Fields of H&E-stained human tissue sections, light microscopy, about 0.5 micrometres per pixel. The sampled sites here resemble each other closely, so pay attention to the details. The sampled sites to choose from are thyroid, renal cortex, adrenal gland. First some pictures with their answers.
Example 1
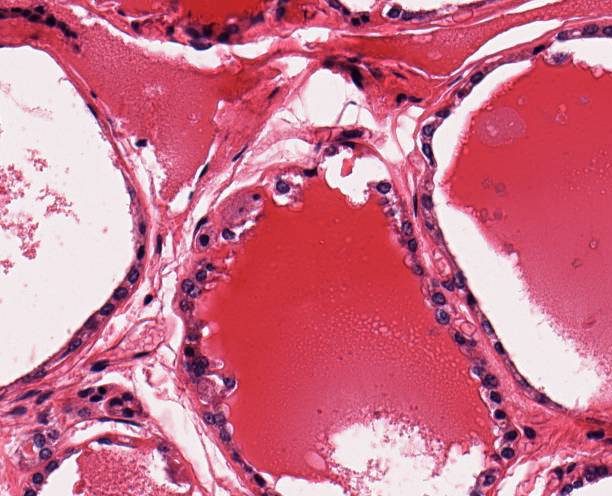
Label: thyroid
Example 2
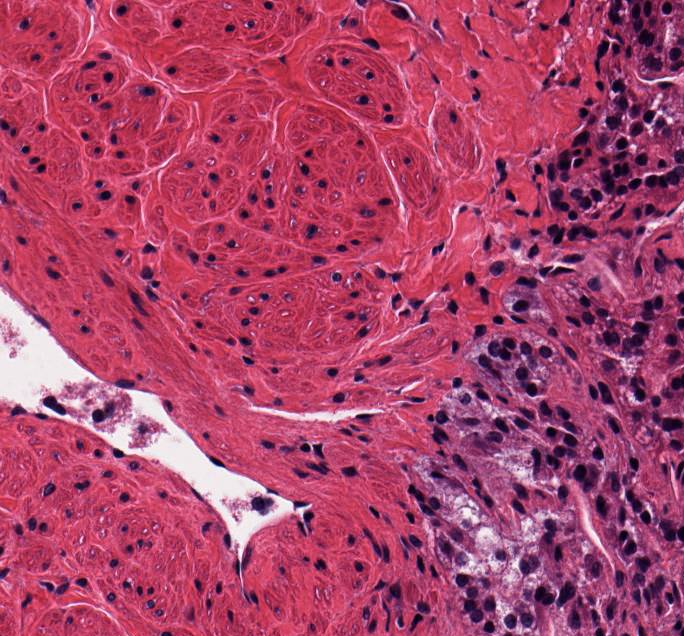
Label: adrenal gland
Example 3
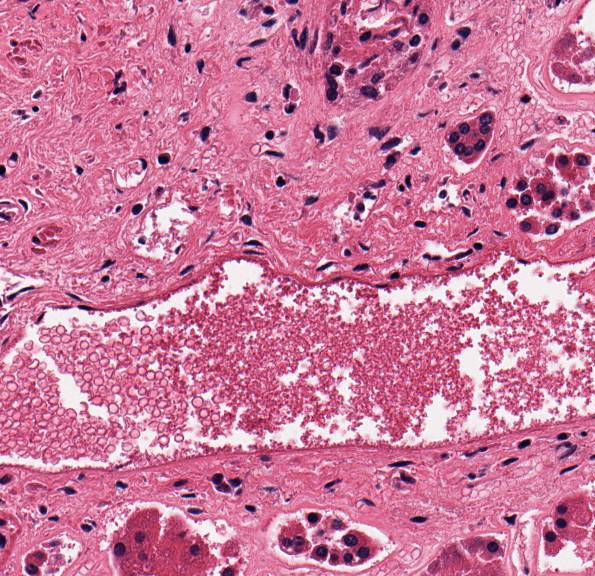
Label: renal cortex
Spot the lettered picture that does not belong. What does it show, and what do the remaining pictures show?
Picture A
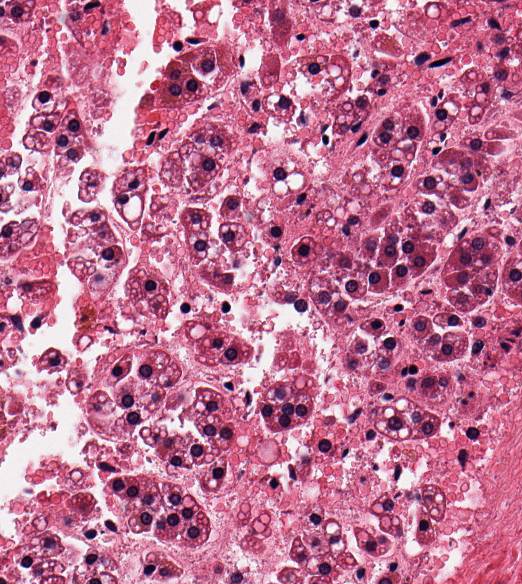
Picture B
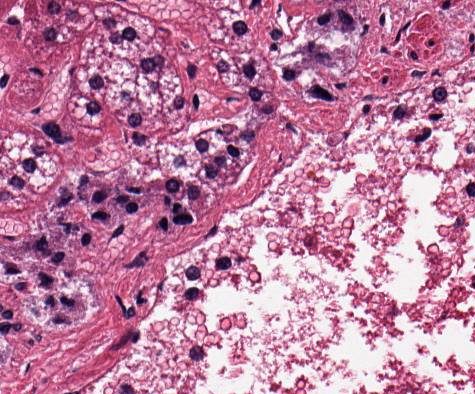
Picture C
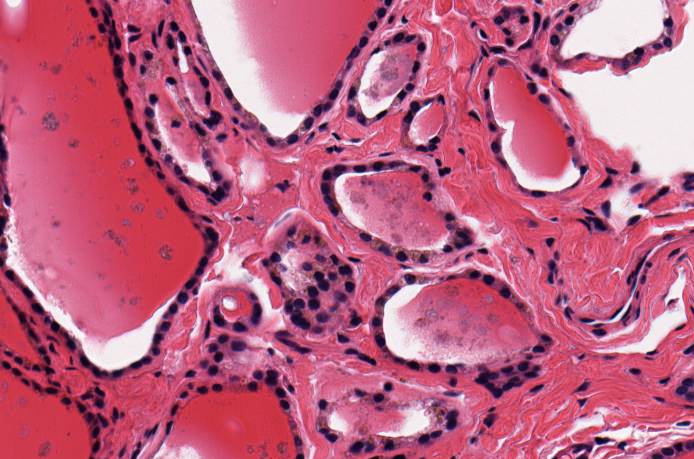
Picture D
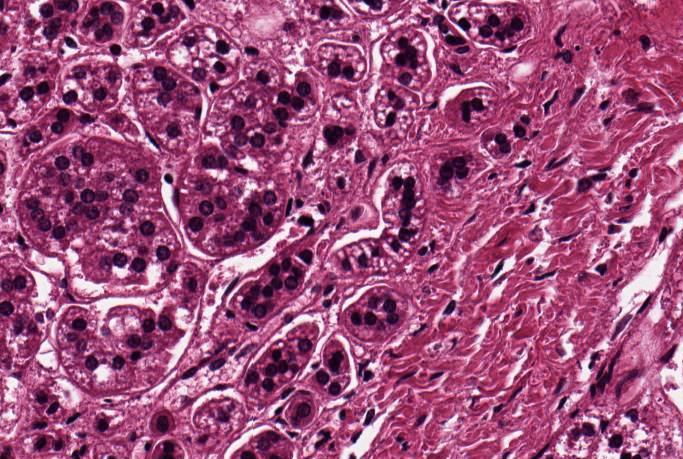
Exception: C, showing thyroid. Remaining pictures: adrenal gland.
